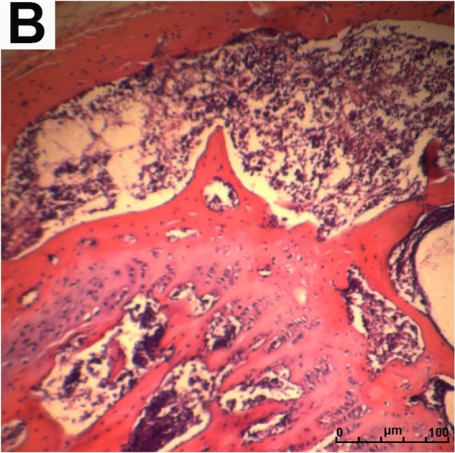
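A section of bone marrow in which the spaces between pink-red bony trabeculae hold purple-nucleated hematopoietic cells. The cells are less tightly packed than in a fully filled marrow, with clear, unstained gaps lying between the clusters of cells.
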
